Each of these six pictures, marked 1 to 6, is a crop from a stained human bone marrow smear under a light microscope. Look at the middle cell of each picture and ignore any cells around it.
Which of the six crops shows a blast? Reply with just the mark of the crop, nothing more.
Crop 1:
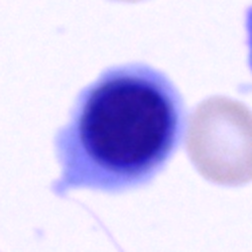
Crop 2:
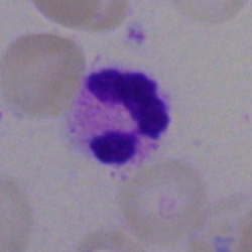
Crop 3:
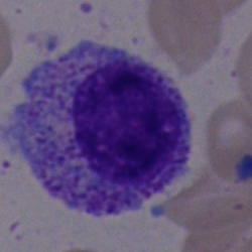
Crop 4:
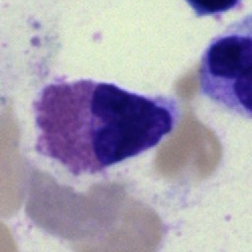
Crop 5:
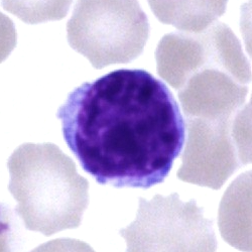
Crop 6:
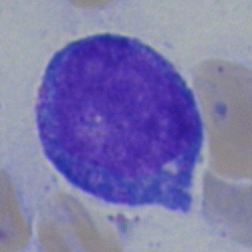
6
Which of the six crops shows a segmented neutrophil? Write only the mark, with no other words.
2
